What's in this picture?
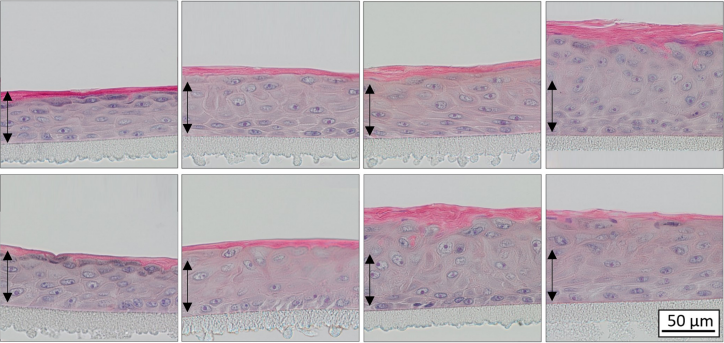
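These are sections of reconstructed epidermis, several layers of keratinocytes stacked on a pale porous membrane. The lower cells have round to oval purple nuclei and pinkish-violet cytoplasm. Toward the surface the cells flatten, and a bright pink, anucleate cornified layer lies on top.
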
